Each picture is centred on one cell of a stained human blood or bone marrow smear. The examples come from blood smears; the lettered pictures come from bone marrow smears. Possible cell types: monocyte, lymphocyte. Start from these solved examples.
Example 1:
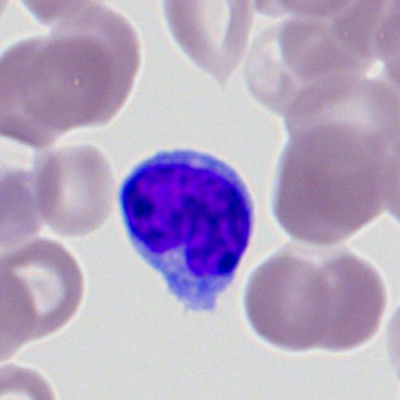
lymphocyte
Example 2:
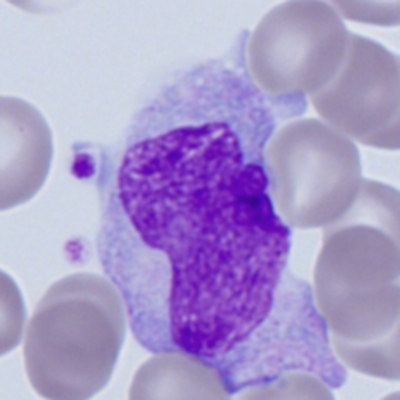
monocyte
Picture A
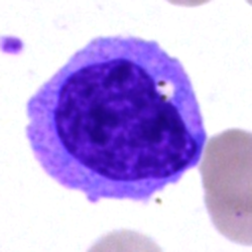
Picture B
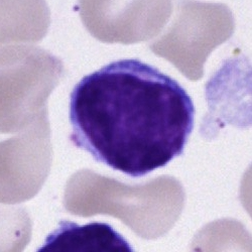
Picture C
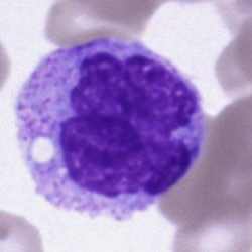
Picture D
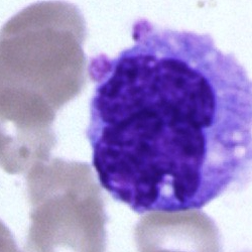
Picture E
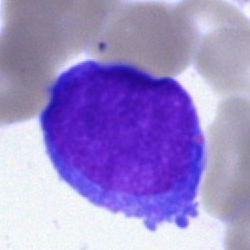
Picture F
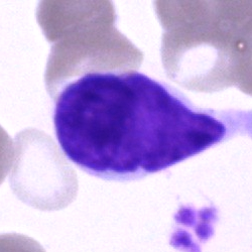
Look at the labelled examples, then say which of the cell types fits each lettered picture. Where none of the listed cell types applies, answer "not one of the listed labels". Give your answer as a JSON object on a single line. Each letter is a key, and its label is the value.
{"A": "monocyte", "B": "lymphocyte", "C": "monocyte", "D": "monocyte", "E": "not one of the listed labels", "F": "lymphocyte"}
